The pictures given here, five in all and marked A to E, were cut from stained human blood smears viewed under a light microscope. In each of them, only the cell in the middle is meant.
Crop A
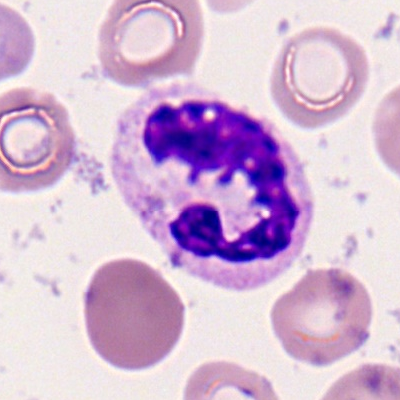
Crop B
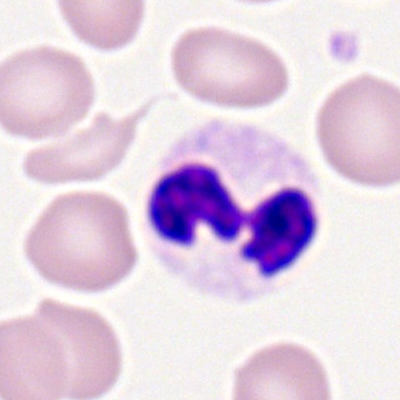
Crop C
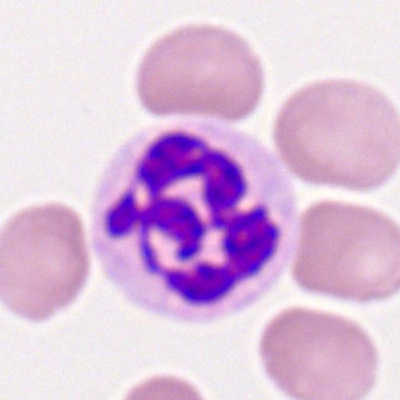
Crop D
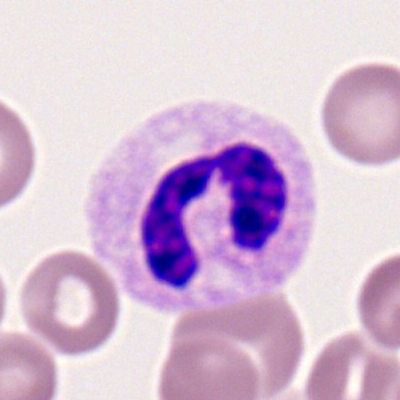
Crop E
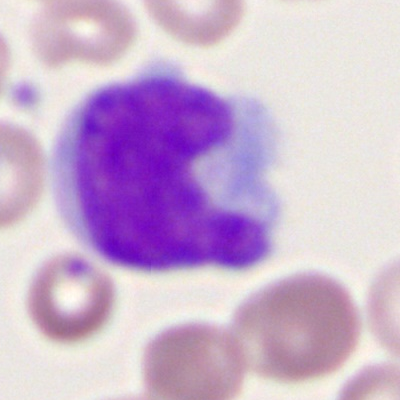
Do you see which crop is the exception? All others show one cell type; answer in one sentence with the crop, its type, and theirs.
Among the crops, crop E is unique in showing a monocyte; the others show segmented neutrophils.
